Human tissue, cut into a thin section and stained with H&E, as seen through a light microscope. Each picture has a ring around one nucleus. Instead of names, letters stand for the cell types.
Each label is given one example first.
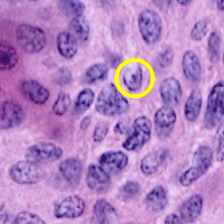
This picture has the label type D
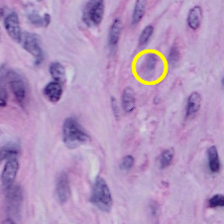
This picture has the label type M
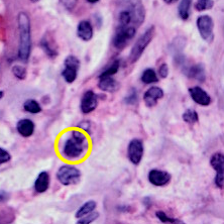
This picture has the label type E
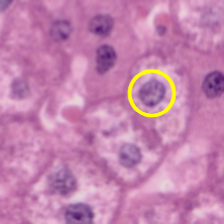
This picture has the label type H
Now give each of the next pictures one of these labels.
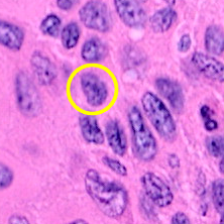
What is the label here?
type D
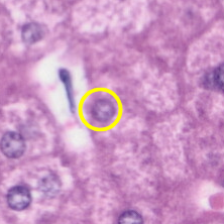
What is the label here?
type H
